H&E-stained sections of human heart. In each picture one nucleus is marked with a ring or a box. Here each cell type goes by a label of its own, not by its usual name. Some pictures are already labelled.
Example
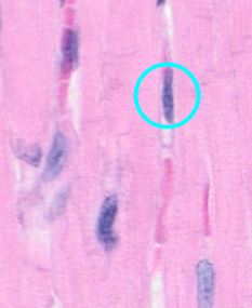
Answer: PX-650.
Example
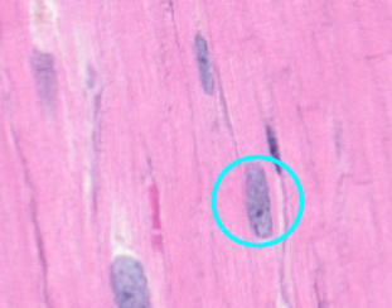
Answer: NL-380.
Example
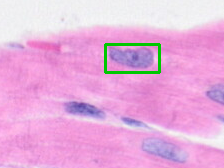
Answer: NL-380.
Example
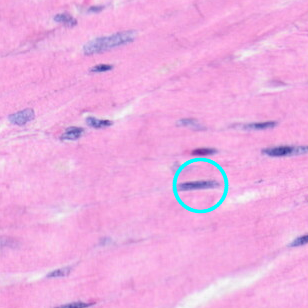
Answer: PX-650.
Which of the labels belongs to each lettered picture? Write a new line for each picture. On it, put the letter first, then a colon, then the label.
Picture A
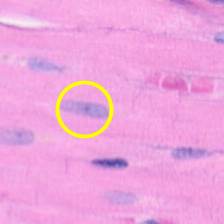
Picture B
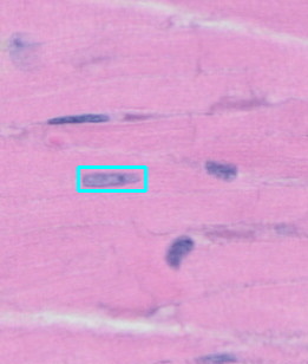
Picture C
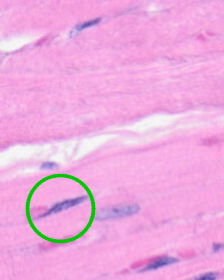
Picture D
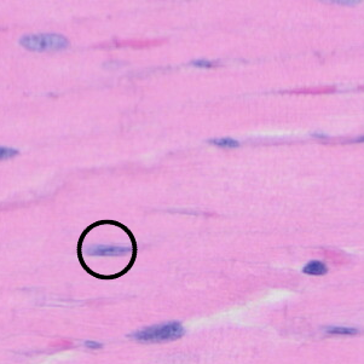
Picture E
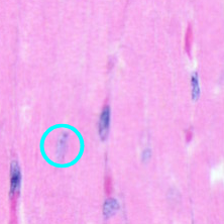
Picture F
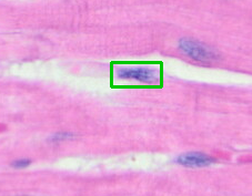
A: NL-380.
B: NL-380.
C: PX-650.
D: PX-650.
E: NL-380.
F: PX-650.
